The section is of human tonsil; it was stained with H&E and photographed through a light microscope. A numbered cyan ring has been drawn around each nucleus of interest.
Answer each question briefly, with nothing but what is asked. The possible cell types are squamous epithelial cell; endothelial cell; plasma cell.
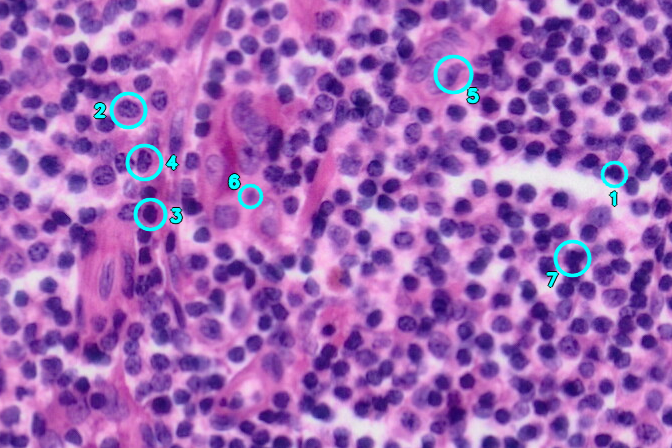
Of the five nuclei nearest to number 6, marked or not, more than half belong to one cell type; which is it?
endothelial cell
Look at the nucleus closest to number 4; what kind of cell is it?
plasma cell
